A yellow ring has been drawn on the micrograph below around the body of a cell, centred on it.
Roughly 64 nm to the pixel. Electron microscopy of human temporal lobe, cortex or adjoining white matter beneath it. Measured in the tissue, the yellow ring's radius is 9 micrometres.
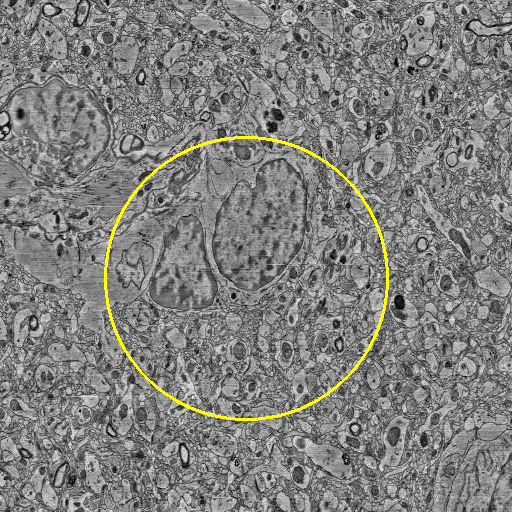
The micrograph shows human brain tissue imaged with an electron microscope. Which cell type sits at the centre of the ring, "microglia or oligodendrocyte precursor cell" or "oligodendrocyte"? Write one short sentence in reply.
The cell sitting at the centre of the ring is a microglial cell or oligodendrocyte precursor cell.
